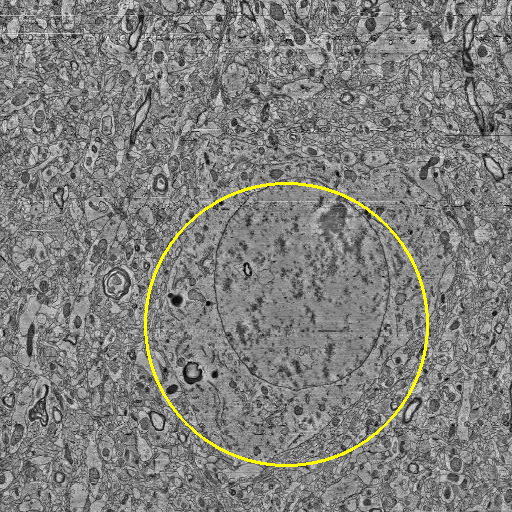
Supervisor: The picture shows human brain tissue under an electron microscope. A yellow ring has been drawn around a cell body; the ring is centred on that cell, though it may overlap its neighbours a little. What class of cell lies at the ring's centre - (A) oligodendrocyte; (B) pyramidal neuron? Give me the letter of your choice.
B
